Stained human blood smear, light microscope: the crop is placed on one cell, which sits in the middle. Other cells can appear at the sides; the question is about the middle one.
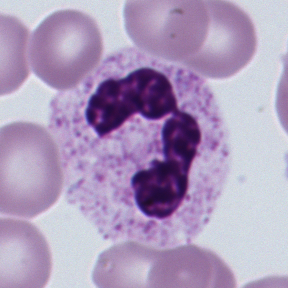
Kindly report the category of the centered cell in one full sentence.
What the crop centres on is a segmented neutrophil.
